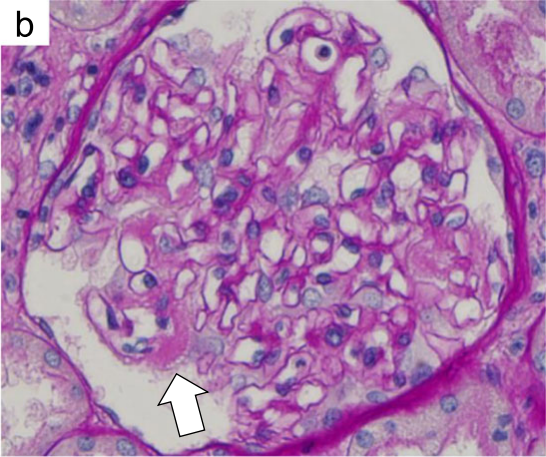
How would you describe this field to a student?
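A glomerulus stained with magenta-staining periodic acid–Schiff, lying within a thick magenta Bowman's capsule with an open urinary space, and bordered by tubules with pale cytoplasm and round nuclei. The capillary loops are outlined by thin magenta basement membranes and mostly open. Blue nuclei of endothelial, mesangial and podocyte cells line the loops. At the lower edge of the tuft, one loop is thickened by paler pink, smooth, amorphous material that stains more weakly than the basement membranes, standing out against the crisp magenta outlines nearby.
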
